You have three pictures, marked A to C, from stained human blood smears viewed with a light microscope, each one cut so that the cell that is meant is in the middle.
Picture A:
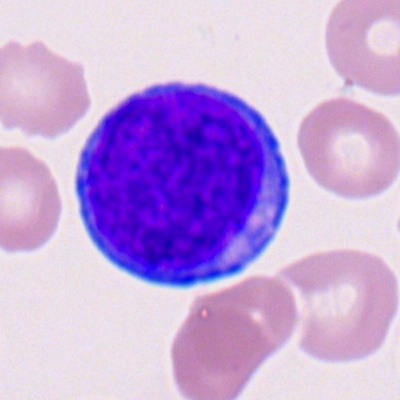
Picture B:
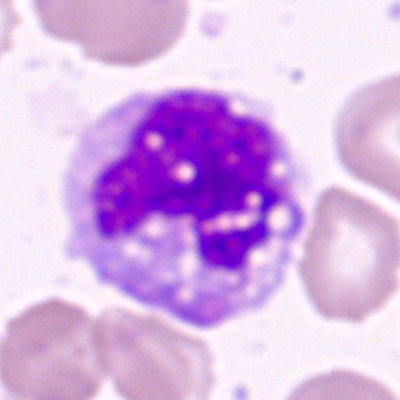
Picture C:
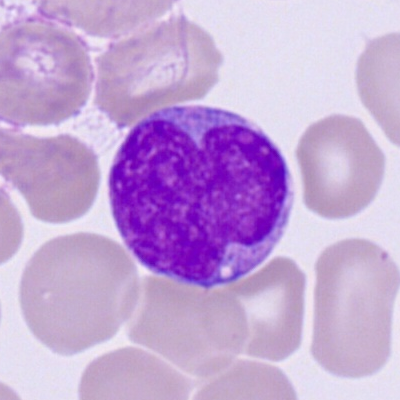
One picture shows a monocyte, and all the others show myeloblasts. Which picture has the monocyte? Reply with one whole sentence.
The picture with the monocyte is B.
